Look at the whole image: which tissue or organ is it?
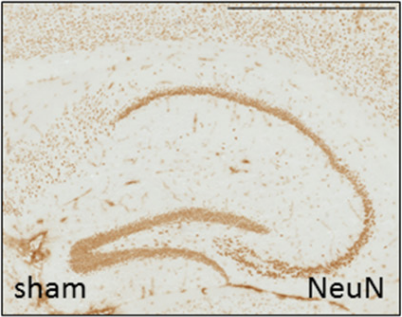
dorsal hippocampus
